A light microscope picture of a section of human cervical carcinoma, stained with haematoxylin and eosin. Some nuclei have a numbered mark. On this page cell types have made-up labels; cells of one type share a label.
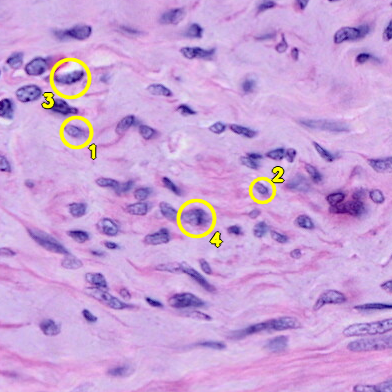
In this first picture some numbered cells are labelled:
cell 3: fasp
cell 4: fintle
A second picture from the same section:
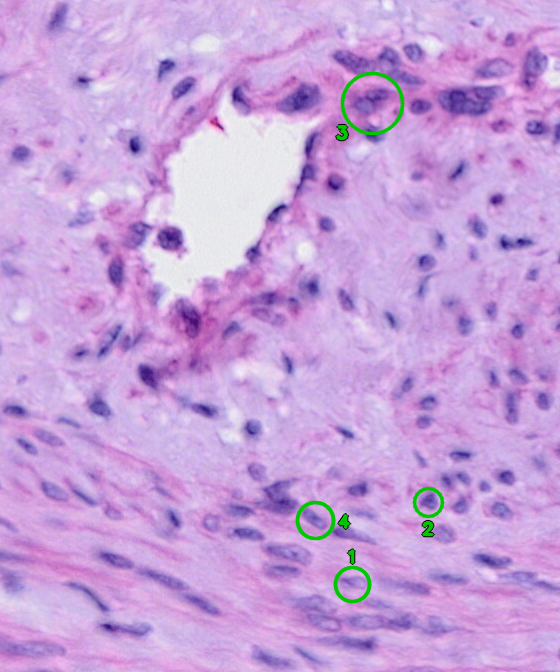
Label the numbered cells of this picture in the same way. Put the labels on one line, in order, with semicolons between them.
fintle; fintle; fasp; fintle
